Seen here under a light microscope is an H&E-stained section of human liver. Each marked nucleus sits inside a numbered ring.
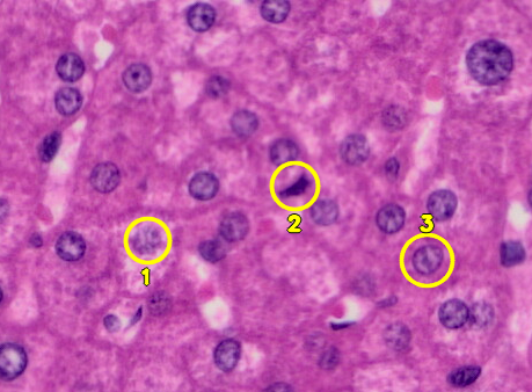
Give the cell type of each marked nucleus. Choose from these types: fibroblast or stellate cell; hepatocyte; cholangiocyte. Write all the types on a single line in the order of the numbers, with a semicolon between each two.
hepatocyte; fibroblast or stellate cell; hepatocyte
